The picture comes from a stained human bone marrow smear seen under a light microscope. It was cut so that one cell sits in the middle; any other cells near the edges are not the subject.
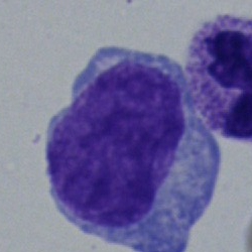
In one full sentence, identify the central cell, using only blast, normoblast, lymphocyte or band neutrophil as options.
Standing at the centre of this crop is a blast.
